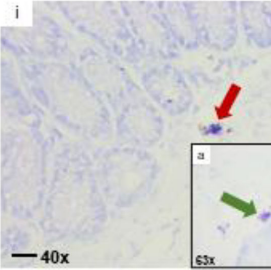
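This is colonic mucosa with its crypts cut across, and a single mast cell in the connective tissue between them. The crypts appear as rounded glandular profiles. Their lining is a pale blue epithelium with many clear, goblet-like spaces. The connective tissue between the crypts stains faintly. A small cell marked by an arrow stands out against this pale background because it is stained dark purple.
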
